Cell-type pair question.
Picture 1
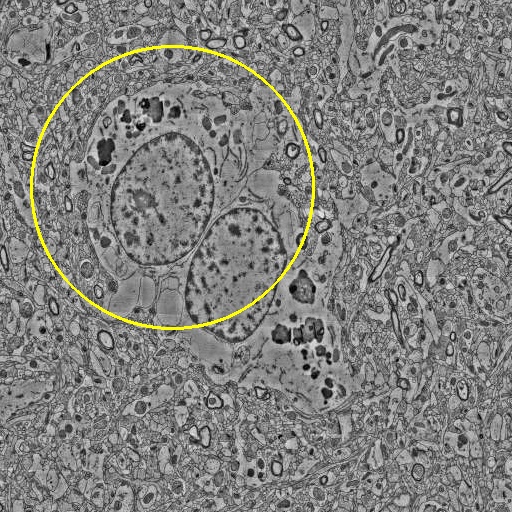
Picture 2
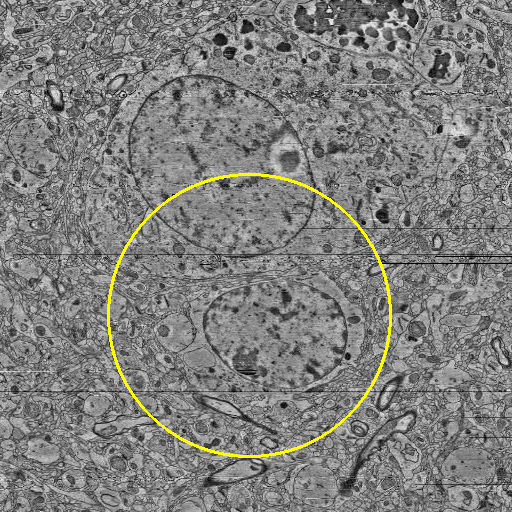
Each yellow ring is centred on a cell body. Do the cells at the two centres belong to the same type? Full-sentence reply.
Yes, the two cells belong to the same type.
